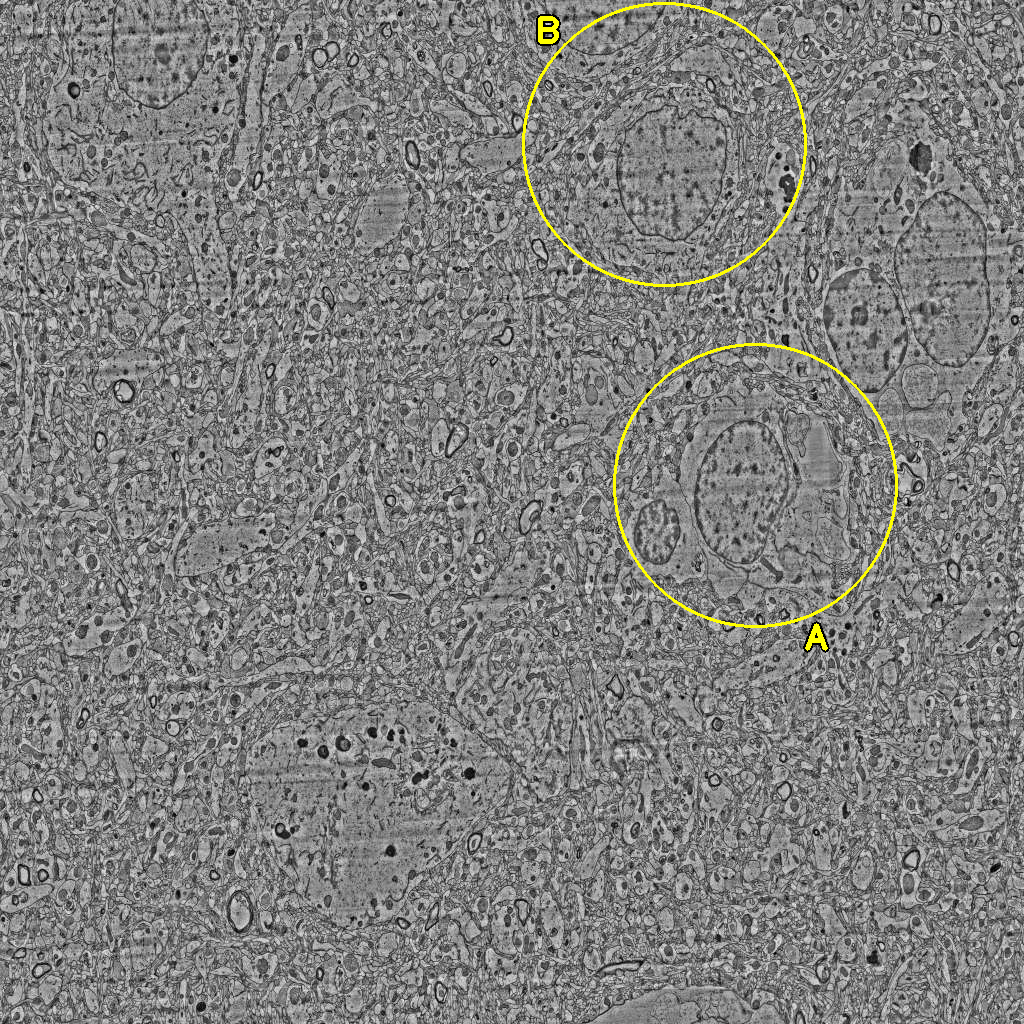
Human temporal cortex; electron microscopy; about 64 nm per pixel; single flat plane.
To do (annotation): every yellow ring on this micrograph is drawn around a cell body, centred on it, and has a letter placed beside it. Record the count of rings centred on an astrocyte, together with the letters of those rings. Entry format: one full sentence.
Out of all the yellow rings, only one is centred on an astrocyte, namely ring A.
